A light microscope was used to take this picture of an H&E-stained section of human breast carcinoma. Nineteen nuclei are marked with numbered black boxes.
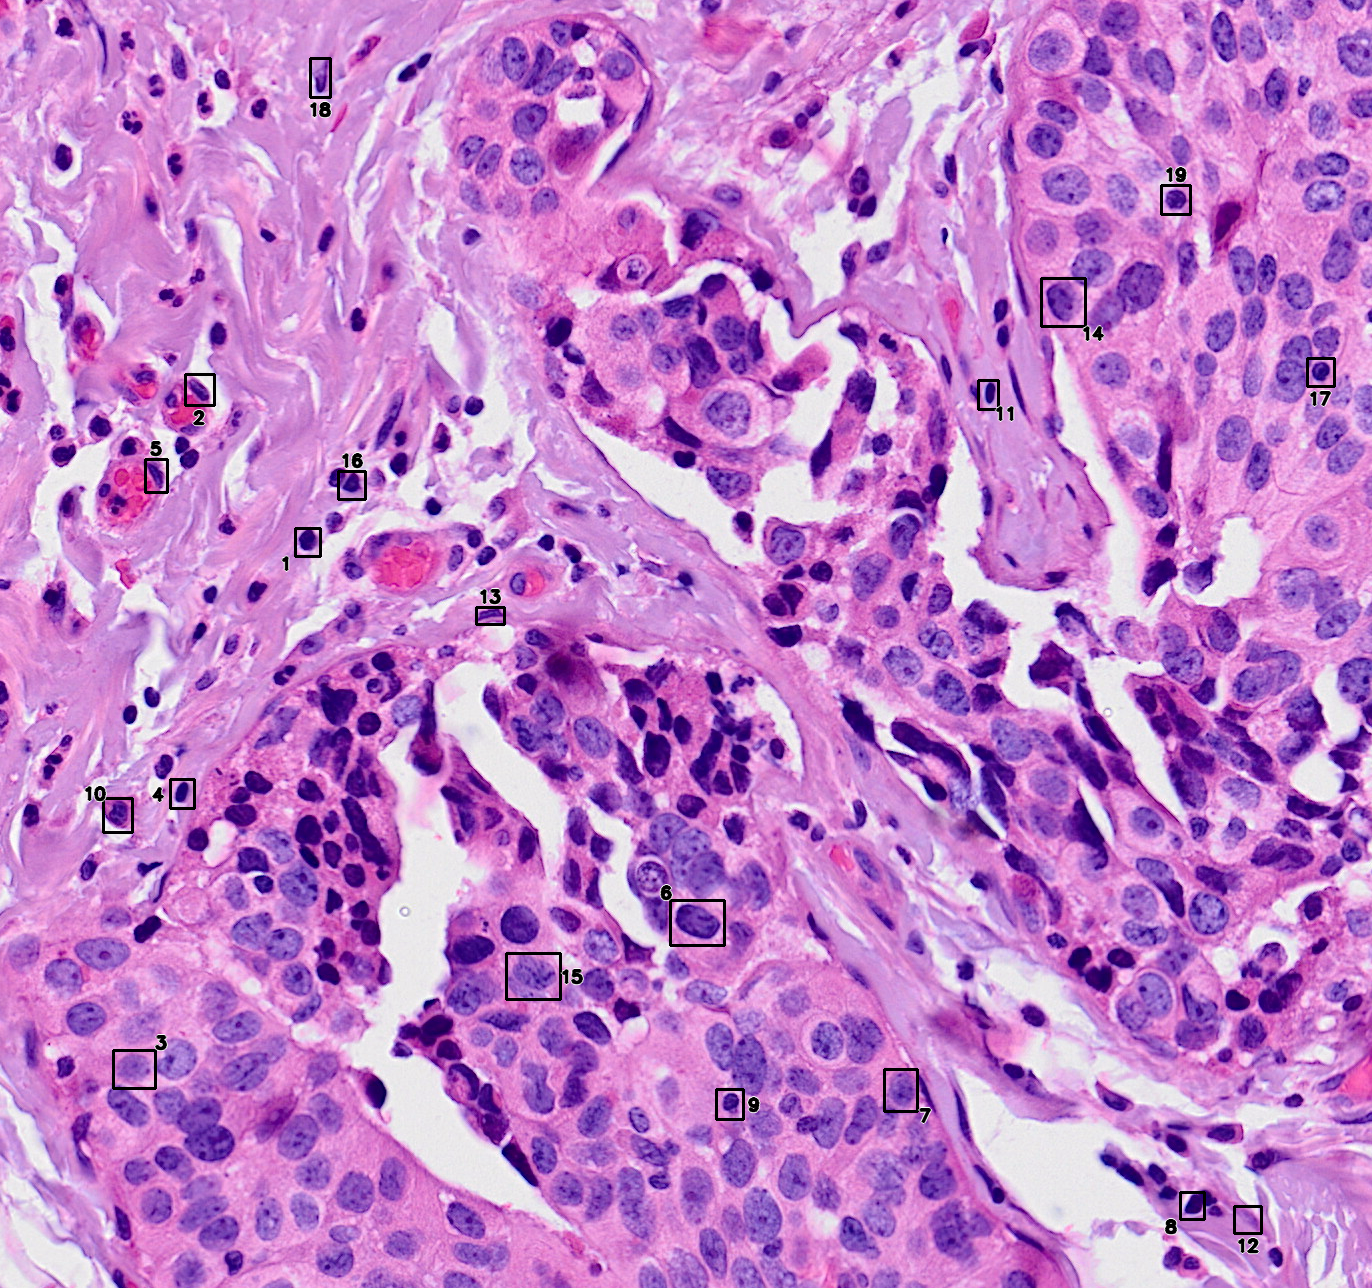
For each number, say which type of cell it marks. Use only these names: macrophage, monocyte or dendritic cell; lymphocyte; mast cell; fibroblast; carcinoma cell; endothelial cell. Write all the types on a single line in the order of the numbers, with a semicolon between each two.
lymphocyte; endothelial cell; carcinoma cell; lymphocyte; endothelial cell; carcinoma cell; carcinoma cell; lymphocyte; lymphocyte; mast cell; lymphocyte; fibroblast; fibroblast; carcinoma cell; carcinoma cell; lymphocyte; lymphocyte; fibroblast; lymphocyte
